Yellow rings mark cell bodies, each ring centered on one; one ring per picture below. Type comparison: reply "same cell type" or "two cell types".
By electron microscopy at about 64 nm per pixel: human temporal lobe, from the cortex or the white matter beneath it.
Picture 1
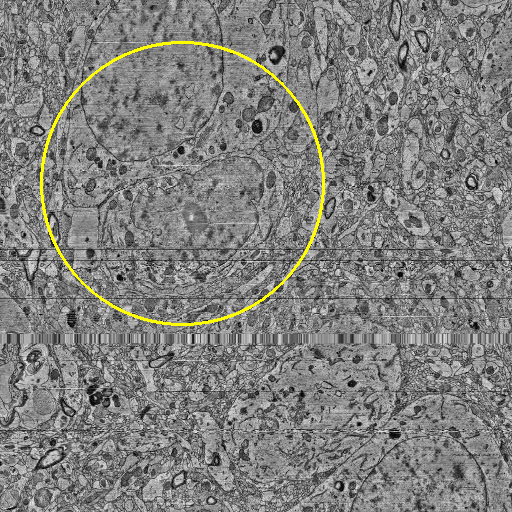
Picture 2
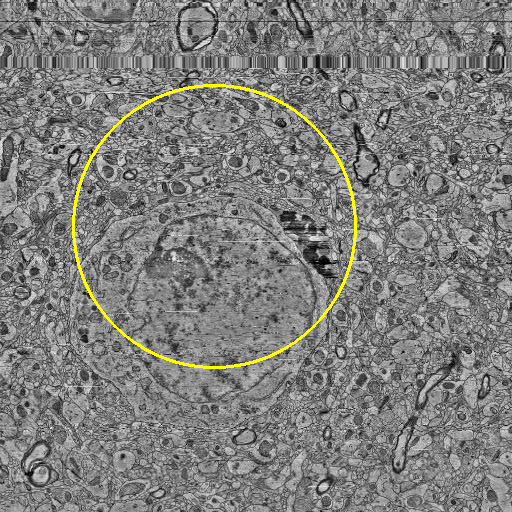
same cell type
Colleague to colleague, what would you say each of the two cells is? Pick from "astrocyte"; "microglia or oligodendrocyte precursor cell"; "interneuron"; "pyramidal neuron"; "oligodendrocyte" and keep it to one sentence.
The cell in the first picture is an interneuron, and so is the one in the second.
